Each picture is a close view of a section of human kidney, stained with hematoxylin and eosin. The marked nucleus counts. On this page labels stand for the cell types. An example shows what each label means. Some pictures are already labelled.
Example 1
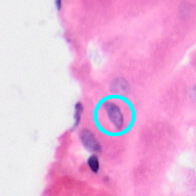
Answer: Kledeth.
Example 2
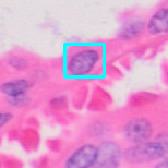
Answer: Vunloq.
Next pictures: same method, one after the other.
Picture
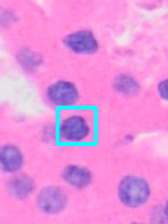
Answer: Vunloq.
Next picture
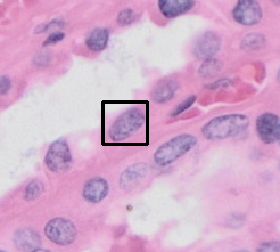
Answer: Vunloq.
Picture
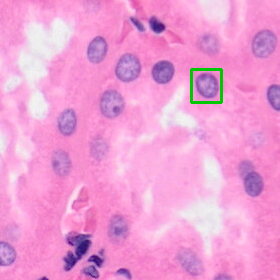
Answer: Kledeth.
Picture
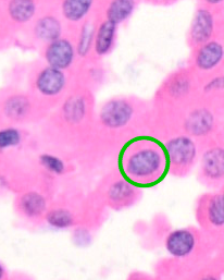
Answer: Vunloq.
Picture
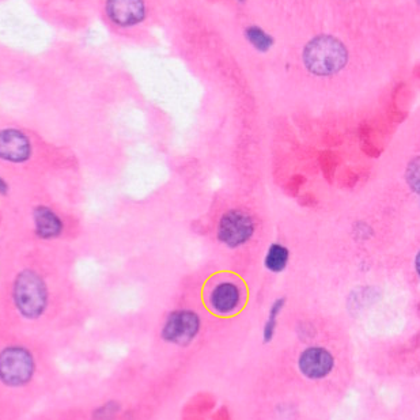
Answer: Kledeth.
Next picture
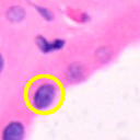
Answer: Vunloq.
